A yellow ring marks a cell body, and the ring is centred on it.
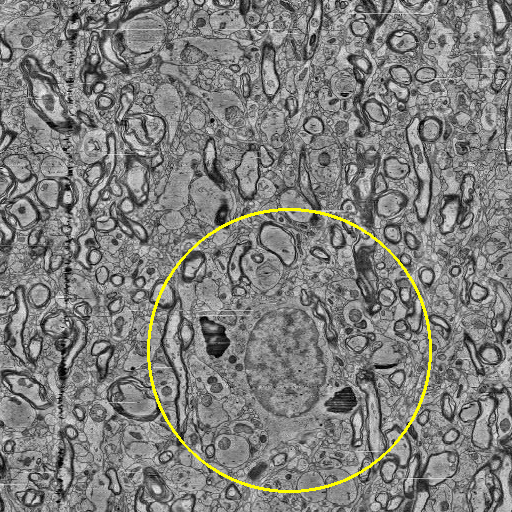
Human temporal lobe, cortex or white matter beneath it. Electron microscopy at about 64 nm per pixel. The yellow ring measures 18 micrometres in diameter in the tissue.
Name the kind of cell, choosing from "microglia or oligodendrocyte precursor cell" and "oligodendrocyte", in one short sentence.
The marked cell body belongs to an oligodendrocyte.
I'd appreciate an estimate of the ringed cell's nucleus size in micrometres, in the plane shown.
About 7 micrometres by about 5 micrometres in this plane.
